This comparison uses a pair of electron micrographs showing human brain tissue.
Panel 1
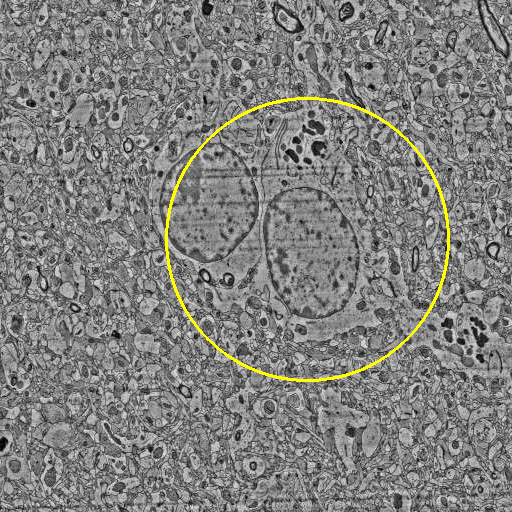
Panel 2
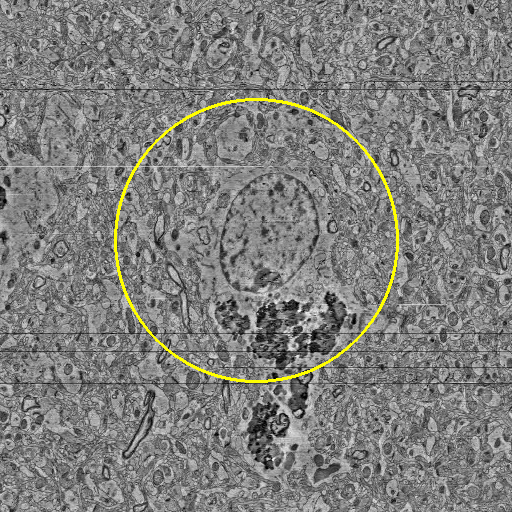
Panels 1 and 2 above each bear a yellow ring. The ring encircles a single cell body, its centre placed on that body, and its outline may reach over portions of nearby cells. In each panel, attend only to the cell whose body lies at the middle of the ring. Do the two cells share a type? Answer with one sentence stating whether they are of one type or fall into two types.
In Panel 1 and Panel 2, the cells at the centres of the rings are of one type.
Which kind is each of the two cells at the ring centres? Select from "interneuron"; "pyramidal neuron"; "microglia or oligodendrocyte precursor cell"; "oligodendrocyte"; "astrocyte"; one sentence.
Each cell at the centre of a ring is an astrocyte.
